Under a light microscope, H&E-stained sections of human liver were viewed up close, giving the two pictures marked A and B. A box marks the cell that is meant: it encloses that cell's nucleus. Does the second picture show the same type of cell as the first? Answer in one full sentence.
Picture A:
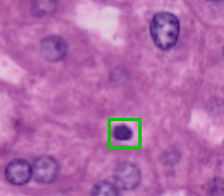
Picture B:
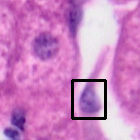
No, picture A shows a lymphocyte and picture B shows a Kupffer cell.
